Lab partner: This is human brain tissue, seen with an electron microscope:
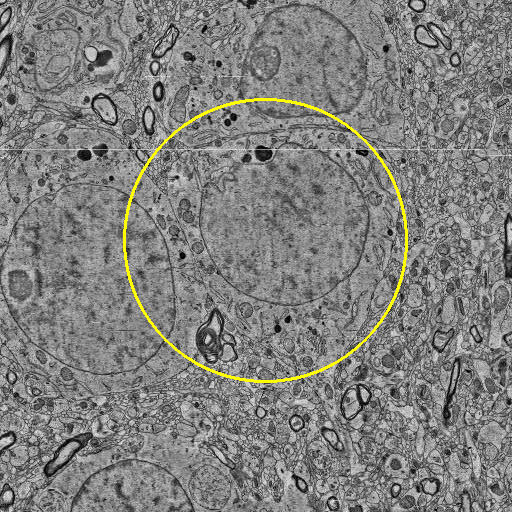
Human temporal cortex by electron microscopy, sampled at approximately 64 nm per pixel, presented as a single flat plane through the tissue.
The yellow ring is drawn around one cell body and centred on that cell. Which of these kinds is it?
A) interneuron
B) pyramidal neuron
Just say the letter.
B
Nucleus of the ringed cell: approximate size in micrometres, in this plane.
The nucleus is about 11 micrometres across in this plane.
